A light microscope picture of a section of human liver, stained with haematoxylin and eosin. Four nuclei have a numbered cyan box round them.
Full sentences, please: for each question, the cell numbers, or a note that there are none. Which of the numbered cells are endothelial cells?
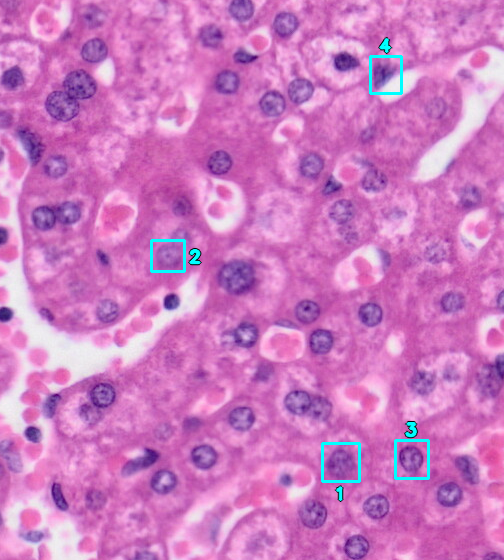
With the exception of cell 4, no marked cell is an endothelial cell.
